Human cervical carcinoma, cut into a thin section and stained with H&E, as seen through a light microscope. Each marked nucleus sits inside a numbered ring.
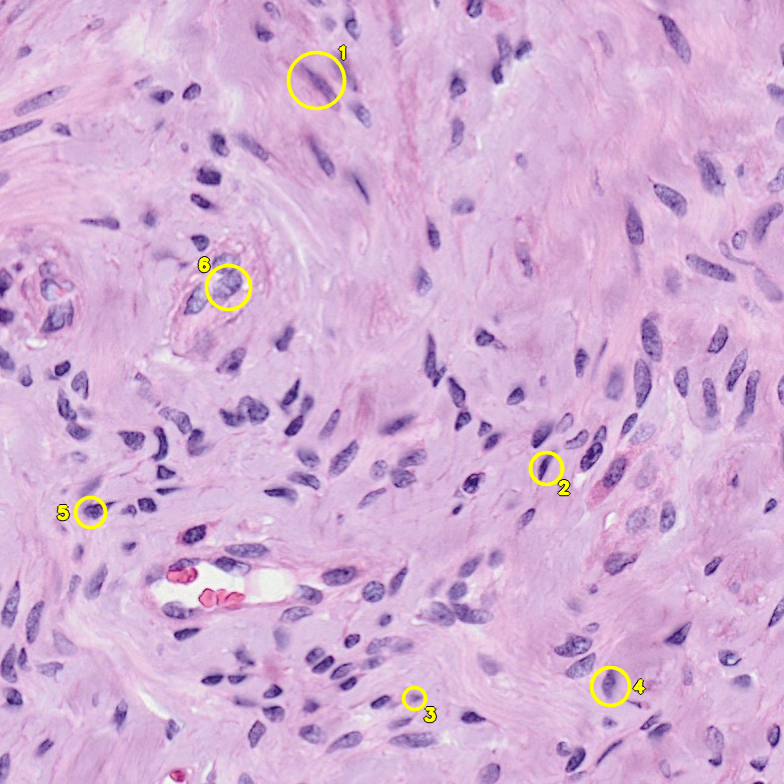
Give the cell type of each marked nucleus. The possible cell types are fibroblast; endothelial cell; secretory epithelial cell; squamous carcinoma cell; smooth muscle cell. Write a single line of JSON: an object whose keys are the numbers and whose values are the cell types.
{"1": "smooth muscle cell", "2": "fibroblast", "3": "fibroblast", "4": "fibroblast", "5": "fibroblast", "6": "endothelial cell"}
